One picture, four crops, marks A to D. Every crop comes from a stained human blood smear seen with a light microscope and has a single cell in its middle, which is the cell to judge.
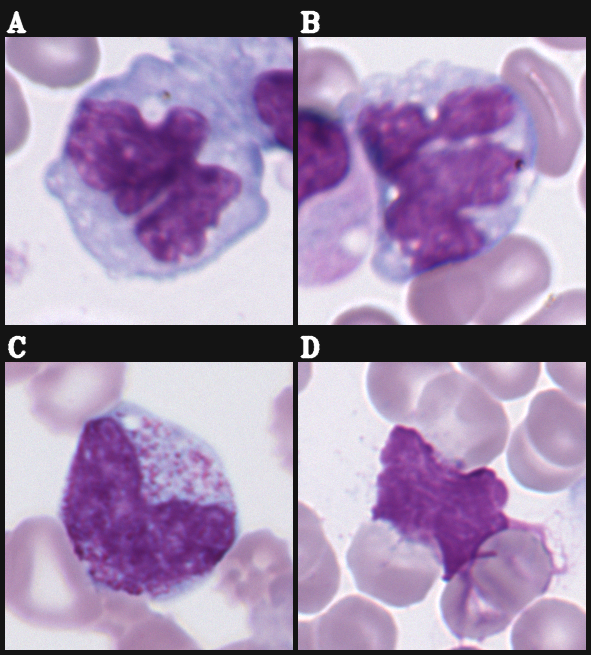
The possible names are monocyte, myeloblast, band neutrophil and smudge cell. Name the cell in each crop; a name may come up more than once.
A: monocyte
B: monocyte
C: band neutrophil
D: smudge cell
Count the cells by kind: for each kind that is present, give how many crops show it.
monocyte: 2
band neutrophil: 1
smudge cell: 1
